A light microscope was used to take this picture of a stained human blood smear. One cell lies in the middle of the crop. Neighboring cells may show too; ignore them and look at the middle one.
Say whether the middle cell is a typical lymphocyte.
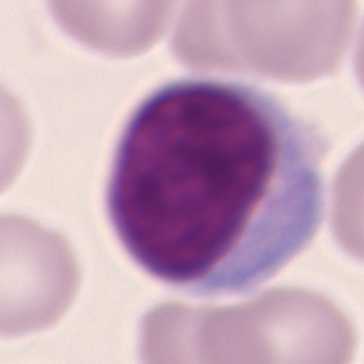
yes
